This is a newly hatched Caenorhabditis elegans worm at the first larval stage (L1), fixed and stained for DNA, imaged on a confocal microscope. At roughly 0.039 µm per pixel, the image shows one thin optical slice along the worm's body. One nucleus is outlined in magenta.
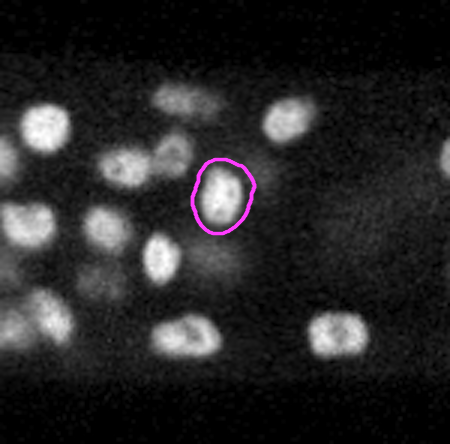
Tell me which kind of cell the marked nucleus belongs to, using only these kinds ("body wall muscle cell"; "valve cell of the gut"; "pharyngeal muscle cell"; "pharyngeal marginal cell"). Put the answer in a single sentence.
The marked cell is a valve cell of the gut.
